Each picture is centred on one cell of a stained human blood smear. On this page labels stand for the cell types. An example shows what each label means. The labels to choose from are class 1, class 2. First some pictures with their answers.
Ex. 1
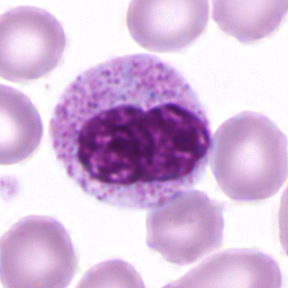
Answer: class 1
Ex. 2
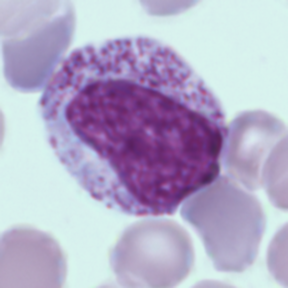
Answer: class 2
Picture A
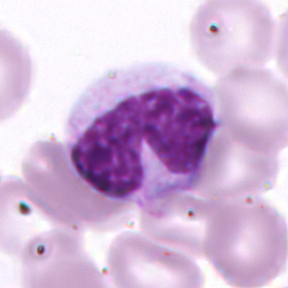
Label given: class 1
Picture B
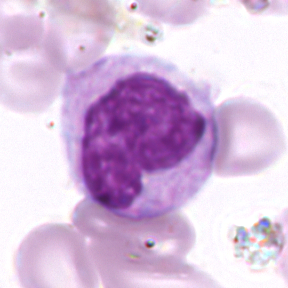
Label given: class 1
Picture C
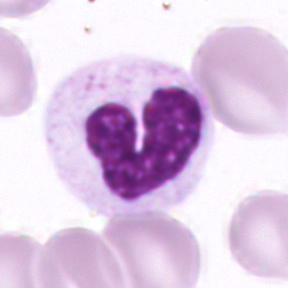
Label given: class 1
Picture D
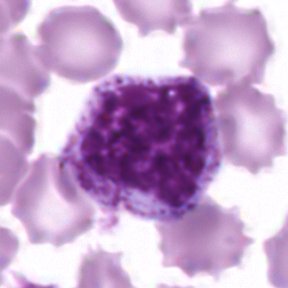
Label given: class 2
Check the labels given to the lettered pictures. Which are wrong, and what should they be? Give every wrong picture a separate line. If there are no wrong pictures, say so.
Every label is right.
